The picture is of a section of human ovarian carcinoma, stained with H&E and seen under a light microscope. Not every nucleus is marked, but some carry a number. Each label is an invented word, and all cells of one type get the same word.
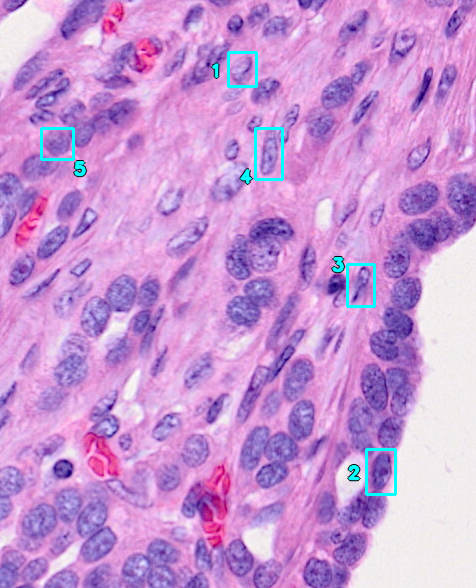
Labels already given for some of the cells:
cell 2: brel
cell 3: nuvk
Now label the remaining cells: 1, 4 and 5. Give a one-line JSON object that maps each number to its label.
{"1": "nuvk", "4": "nuvk", "5": "brel"}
